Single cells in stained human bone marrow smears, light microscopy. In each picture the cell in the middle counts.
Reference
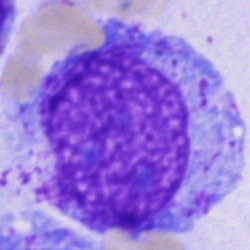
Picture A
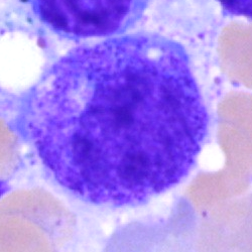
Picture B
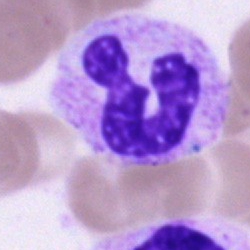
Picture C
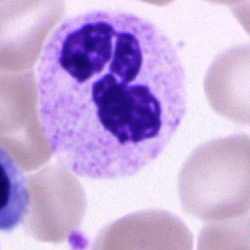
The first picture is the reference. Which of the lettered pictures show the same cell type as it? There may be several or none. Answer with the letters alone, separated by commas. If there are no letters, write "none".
A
